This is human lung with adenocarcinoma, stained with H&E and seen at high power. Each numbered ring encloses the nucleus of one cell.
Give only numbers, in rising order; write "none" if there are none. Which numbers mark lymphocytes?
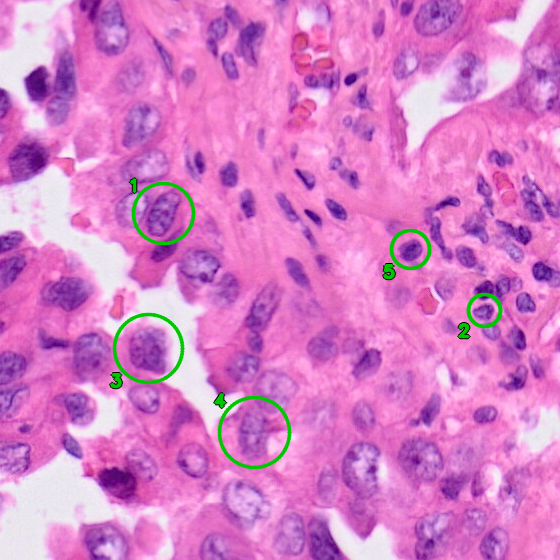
2, 5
